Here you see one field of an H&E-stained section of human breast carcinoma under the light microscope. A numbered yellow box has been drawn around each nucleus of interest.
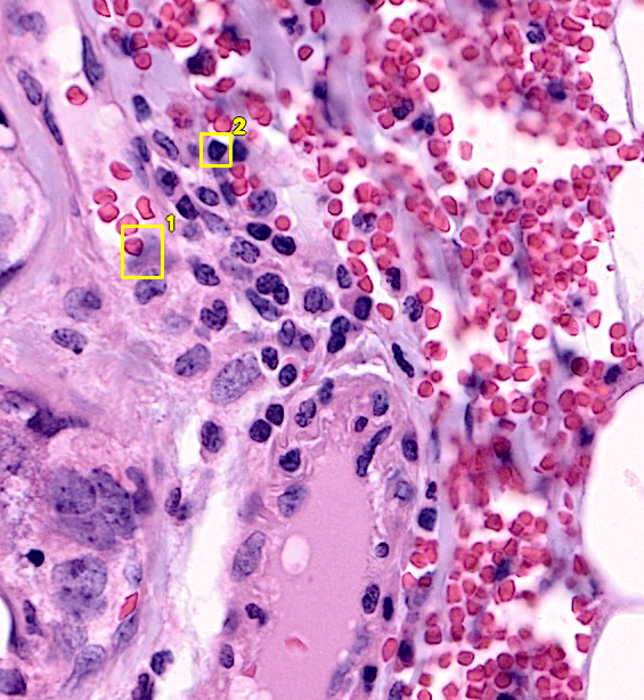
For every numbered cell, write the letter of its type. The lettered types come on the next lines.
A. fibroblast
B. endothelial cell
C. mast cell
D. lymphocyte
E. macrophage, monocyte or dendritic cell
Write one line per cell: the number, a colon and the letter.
1: B
2: D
